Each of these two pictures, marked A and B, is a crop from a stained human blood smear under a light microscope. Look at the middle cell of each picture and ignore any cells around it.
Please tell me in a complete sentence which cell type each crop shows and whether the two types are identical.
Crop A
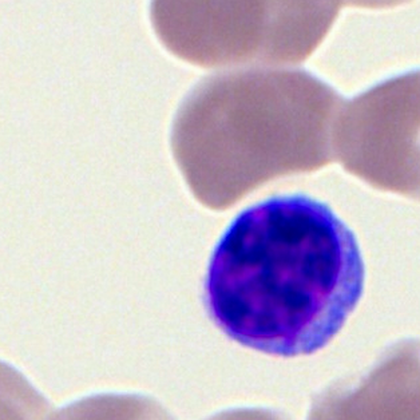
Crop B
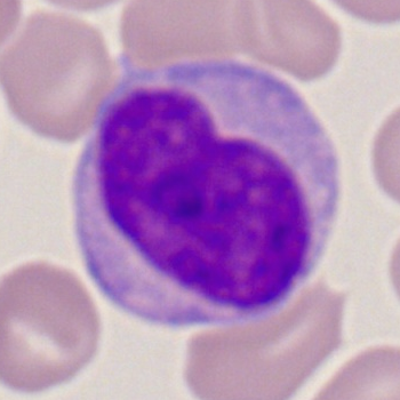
No, crop A shows a lymphocyte and crop B a monocyte.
